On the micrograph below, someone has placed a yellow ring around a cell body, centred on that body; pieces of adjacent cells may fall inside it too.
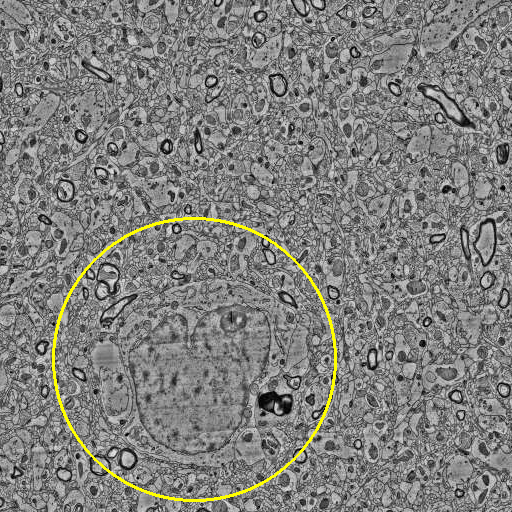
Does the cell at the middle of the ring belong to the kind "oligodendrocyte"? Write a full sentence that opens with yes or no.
No, the micrograph shows another kind of cell at the ring's centre.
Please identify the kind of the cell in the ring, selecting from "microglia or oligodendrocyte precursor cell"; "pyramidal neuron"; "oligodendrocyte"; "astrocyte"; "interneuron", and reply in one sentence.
The cell enclosed by the ring is an interneuron.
